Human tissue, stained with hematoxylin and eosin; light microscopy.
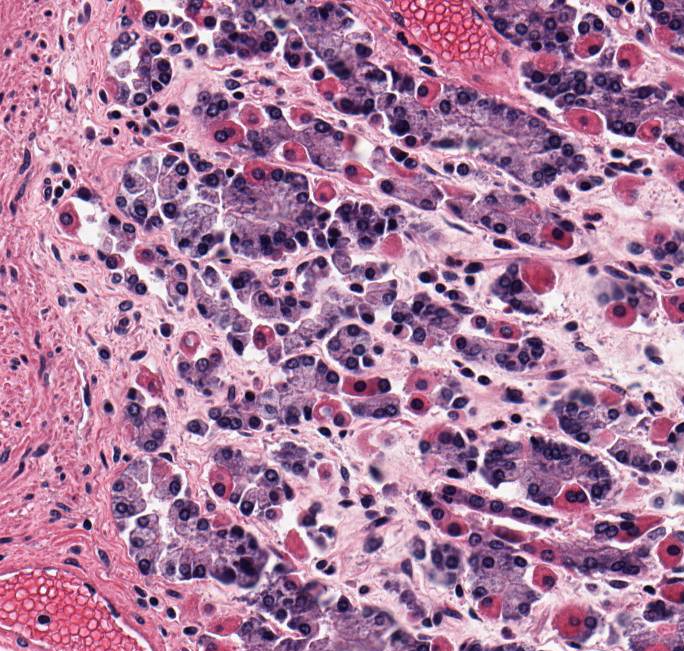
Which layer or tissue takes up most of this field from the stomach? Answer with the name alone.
fundic glands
